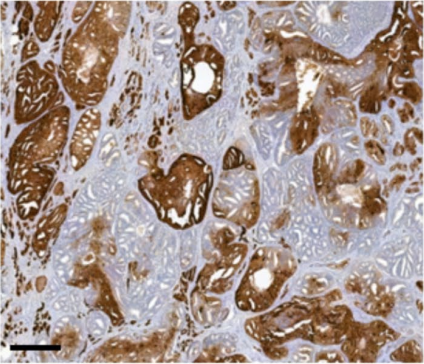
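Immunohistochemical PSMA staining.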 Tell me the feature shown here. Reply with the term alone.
cribriform growth pattern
